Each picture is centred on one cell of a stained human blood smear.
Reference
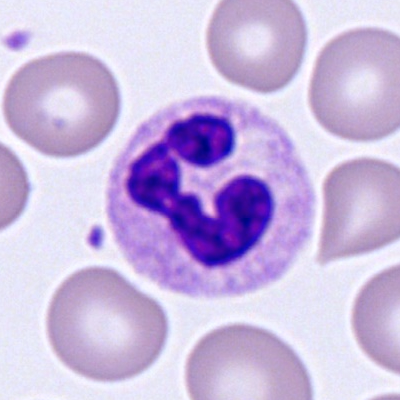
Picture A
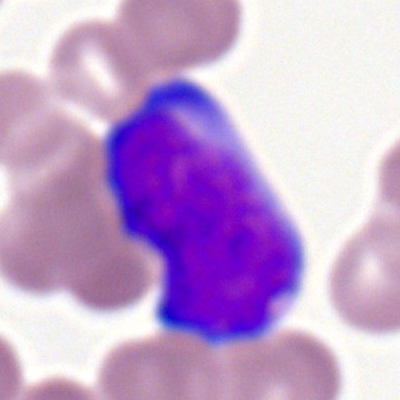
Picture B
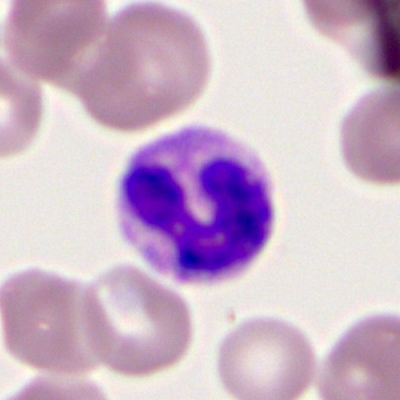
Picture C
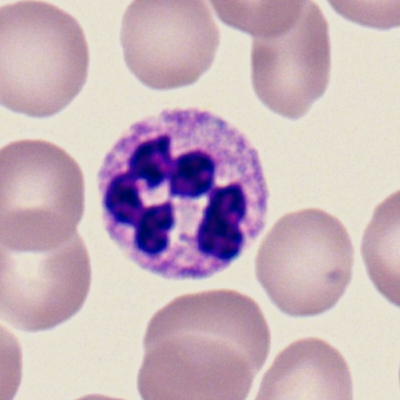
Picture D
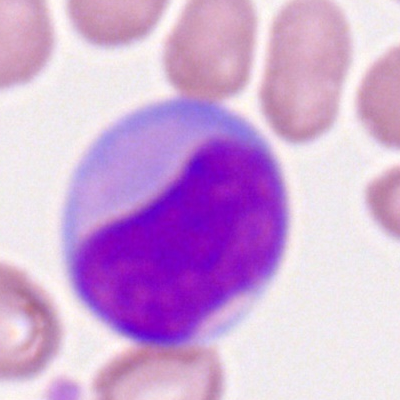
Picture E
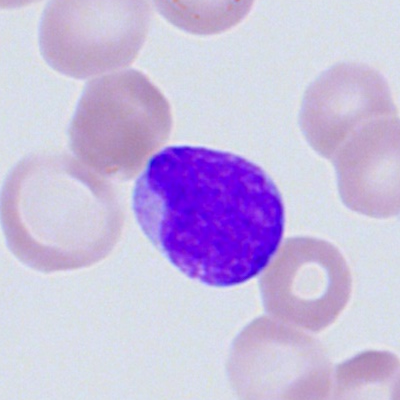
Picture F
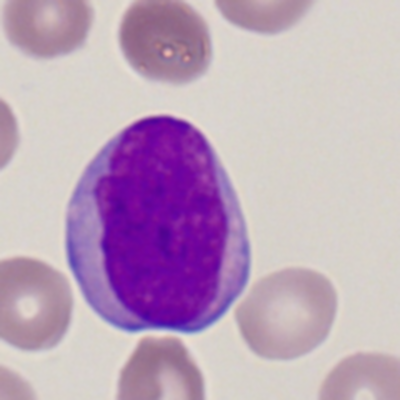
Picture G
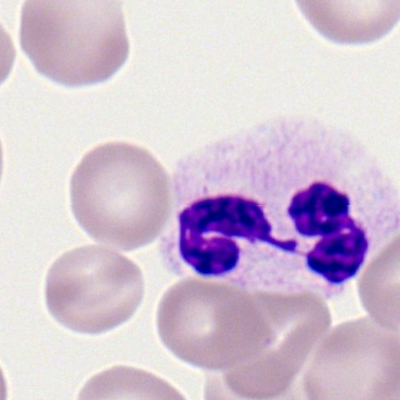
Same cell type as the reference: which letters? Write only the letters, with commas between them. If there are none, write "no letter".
B, C, G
